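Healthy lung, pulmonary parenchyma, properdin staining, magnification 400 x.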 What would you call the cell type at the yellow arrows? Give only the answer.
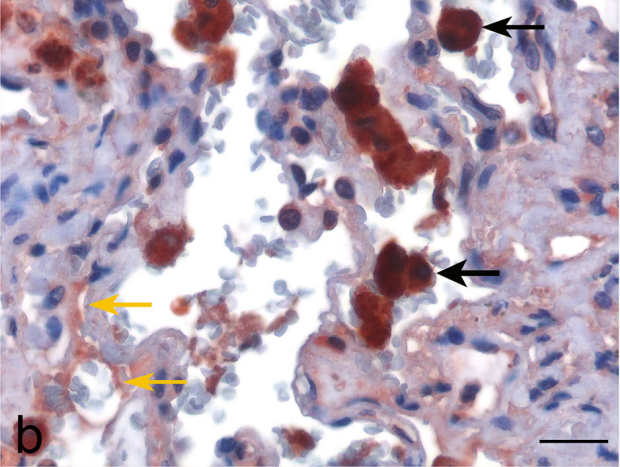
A: Endothelial cells.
